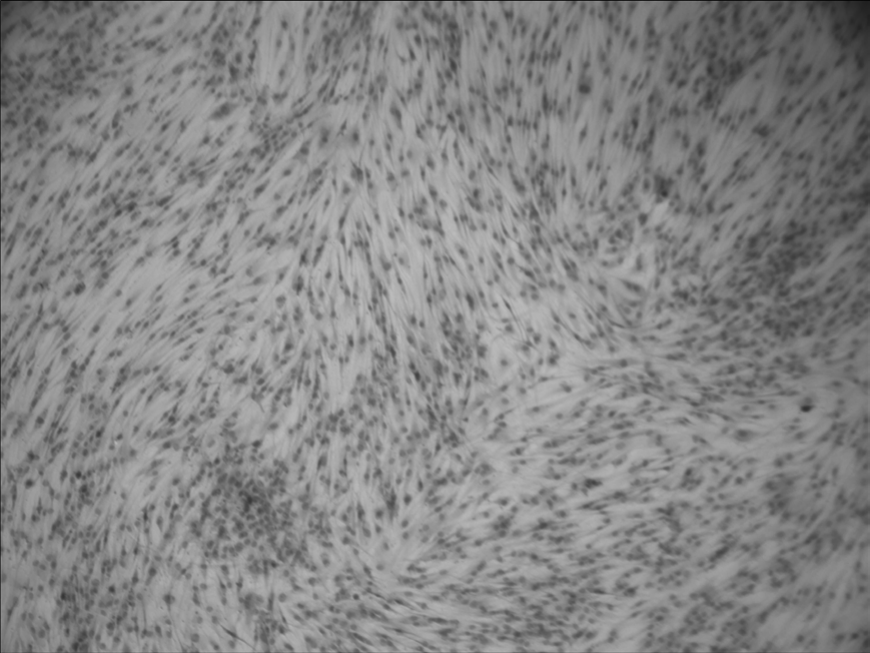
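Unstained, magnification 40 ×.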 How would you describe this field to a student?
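The cells are elongated and spindle-shaped, with pale cytoplasm that tapers into thin extensions at both ends. Each cell carries one small dark oval nucleus near its centre. Neighbouring cells line up side by side in parallel bundles, and these bundles curve into swirling, whorled patterns across the dish. In the lower left, the cells and their nuclei are packed more densely, giving a darker patch.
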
